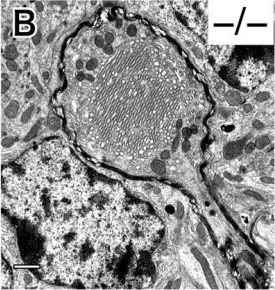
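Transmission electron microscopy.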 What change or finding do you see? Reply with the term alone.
Axonal spheroids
